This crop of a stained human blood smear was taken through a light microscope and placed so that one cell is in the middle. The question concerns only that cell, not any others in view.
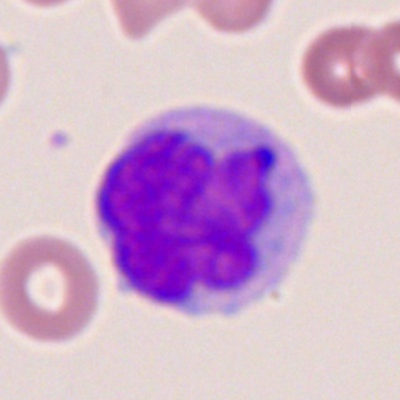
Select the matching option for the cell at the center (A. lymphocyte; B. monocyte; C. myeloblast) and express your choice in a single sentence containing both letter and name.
Option B gives the correct identity of the central cell, namely a monocyte.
